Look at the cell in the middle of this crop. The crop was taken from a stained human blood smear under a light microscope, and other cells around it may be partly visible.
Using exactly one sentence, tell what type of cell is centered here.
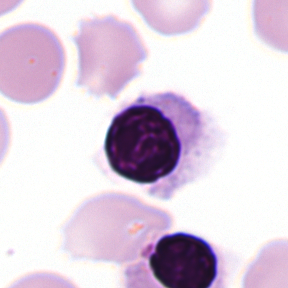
As for the central cell, it is a normoblast.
